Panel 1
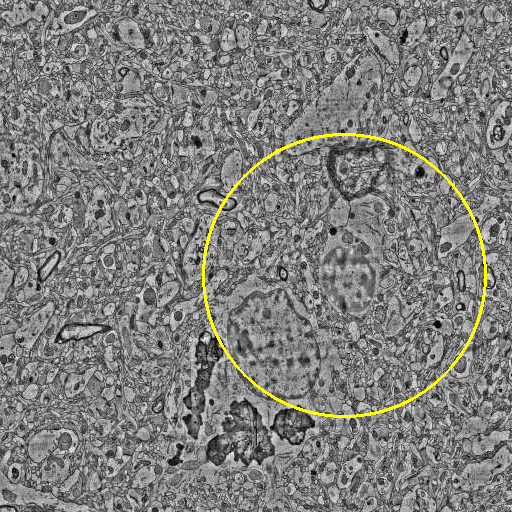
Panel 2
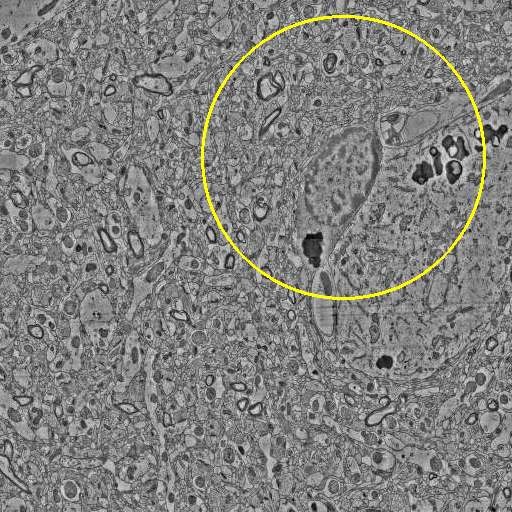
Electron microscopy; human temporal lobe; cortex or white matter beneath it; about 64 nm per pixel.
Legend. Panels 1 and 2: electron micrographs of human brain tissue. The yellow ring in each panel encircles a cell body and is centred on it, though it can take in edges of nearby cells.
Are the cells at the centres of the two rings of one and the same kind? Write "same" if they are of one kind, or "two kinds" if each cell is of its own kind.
same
